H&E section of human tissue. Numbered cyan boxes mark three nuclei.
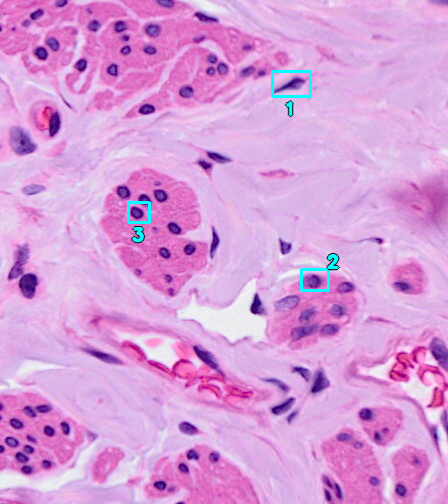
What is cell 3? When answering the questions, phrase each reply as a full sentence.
Cell 3 of the marked set is a smooth muscle cell.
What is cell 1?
The cell that goes by number 1 is a fibroblast.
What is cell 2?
Cell 2, as marked in the section, is a smooth muscle cell.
